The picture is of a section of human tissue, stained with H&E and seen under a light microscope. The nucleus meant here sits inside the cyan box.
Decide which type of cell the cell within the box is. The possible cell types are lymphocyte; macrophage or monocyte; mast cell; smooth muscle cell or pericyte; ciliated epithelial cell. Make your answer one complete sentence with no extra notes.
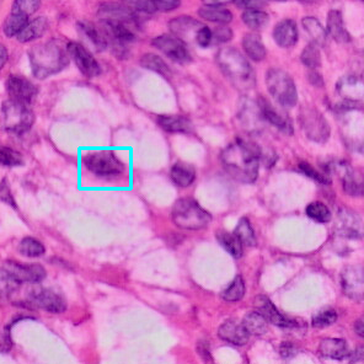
It is as a ciliated epithelial cell that the cell within the box is recorded.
